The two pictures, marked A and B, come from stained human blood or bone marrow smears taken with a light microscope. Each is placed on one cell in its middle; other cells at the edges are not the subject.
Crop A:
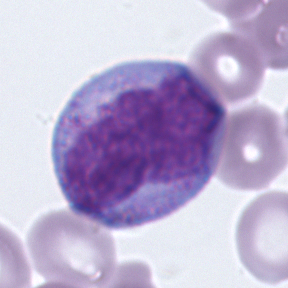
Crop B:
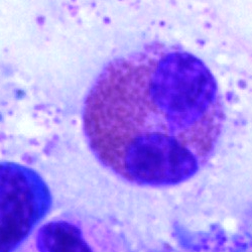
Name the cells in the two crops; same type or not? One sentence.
No, a promyelocyte is shown in crop A and an eosinophil in crop B.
